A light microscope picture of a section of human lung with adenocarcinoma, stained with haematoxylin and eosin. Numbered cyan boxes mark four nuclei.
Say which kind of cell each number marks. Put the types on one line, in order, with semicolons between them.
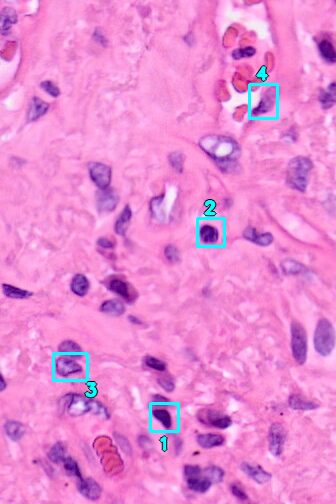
plasma cell; lymphocyte; fibroblast; endothelial cell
